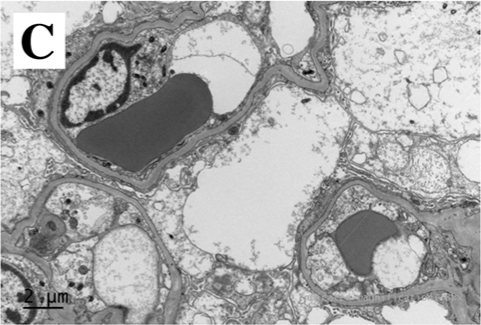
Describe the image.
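Glomerular capillary loops in cross section, seen by transmission electron microscopy. Several round lumens are each lined by a thin dark basement membrane; two contain a dense, homogeneous grey red blood cell, and one at upper left holds an endothelial cell with a dark elongated nucleus. On the outer side of the basement membranes lies epithelial cytoplasm that runs as a continuous flat layer rather than as separate small feet. Between the loops are large, pale, swollen cell bodies with sparse, flocculent contents, some with fine projections at their surface, and a few small dark granules.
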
